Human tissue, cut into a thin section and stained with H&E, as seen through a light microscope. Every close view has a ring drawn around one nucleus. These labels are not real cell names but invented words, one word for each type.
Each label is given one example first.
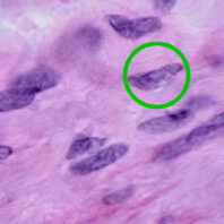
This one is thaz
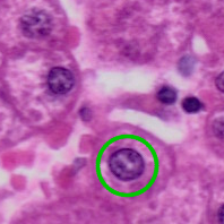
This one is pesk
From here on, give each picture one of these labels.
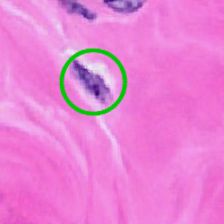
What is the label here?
thaz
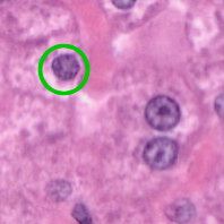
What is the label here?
pesk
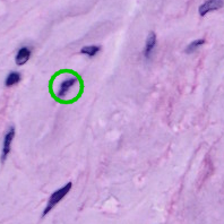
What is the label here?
thaz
